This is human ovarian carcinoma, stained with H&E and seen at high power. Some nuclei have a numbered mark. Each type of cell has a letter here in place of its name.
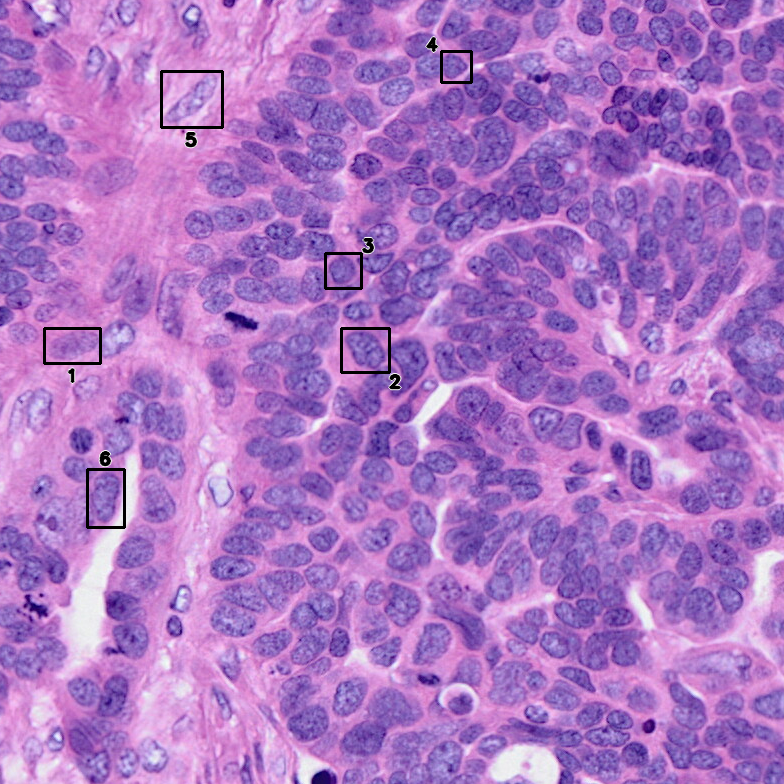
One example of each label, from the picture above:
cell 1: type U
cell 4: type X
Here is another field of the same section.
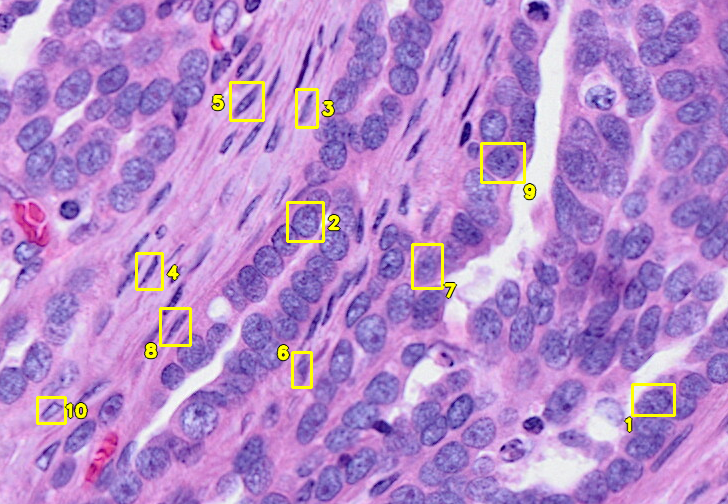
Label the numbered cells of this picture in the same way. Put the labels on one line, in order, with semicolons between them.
type X; type X; type U; type U; type U; type U; type X; type U; type X; type U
